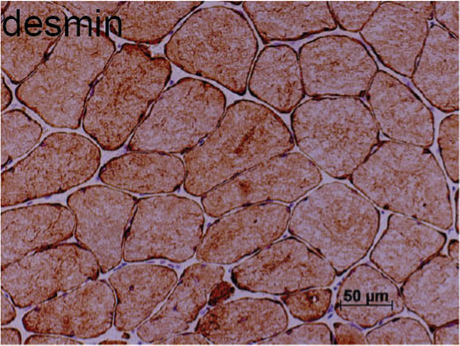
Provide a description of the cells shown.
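Skeletal muscle in cross section: polygonal to rounded fibers of broadly similar size, packed closely with thin strands of pale connective tissue between them. Nuclei are small, dark blue and lie at the fiber edges. The fiber cytoplasm stains brown throughout with a fine, granular texture, and the rim of each fiber is darker. Some fibers hold irregular streaks or patches of deeper brown inside, and a few fibers near the bottom stain more intensely as a whole.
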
